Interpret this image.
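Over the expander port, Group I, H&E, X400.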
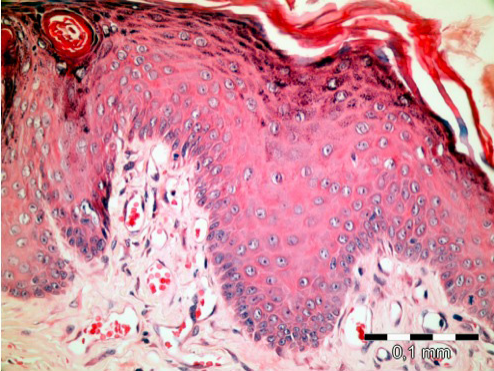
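This is skin in which the epidermis is greatly thickened, with many layers of keratinocytes. These form broad tongues that push down into the dermis. The basal cells are small and crowded, giving a darker purple rim, while the upper cells are larger, with round nuclei and ample pale pink cytoplasm. The narrow dermal papillae between the epithelial projections hold dilated capillaries filled with red blood cells.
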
